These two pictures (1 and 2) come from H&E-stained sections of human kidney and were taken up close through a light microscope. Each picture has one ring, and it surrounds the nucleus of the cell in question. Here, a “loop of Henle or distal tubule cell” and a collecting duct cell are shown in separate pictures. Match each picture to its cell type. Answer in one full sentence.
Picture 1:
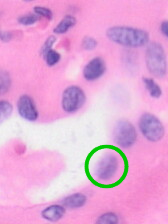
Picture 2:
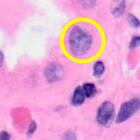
The cell in picture 1 is a collecting duct cell, and the one in picture 2 is a “loop of Henle or distal tubule cell”.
